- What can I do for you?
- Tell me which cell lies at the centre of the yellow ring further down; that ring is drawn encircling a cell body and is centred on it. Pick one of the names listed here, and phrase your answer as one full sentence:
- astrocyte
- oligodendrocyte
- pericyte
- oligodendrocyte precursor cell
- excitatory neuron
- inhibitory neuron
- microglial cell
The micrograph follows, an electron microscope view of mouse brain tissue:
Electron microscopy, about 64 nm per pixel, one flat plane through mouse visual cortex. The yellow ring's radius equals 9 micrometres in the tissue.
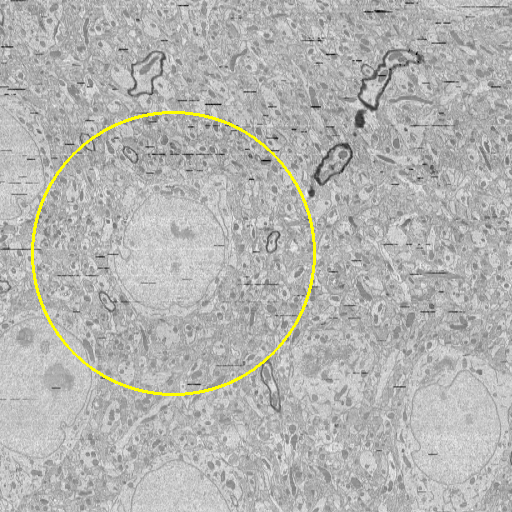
The cell whose body lies at the centre of the yellow ring is an inhibitory neuron.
